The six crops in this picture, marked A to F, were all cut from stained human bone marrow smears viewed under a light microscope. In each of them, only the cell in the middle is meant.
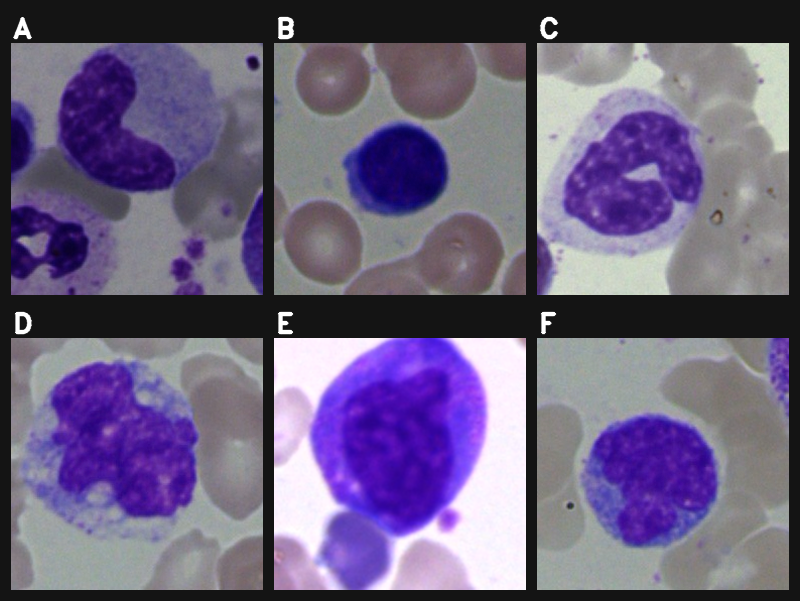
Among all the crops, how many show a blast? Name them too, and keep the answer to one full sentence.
None of the crops shows blasts, so the count to report is zero.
